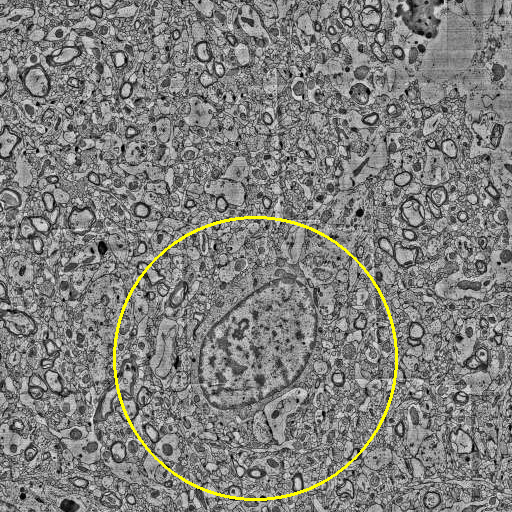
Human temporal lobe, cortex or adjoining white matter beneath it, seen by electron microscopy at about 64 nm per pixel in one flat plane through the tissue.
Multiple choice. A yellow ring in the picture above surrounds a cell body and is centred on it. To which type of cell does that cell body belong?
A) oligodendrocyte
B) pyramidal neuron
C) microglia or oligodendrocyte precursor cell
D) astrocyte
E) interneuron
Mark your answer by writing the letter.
A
